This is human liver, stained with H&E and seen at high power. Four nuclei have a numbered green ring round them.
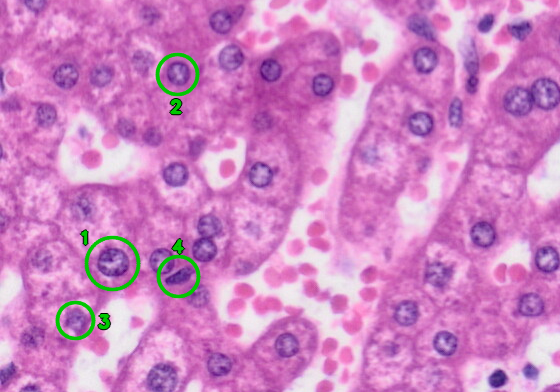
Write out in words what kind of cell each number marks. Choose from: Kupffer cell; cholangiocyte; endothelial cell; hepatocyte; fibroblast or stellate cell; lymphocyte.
Cell 1 is a hepatocyte, cell 2 is a hepatocyte, cell 3 is a hepatocyte and cell 4 is a fibroblast or stellate cell.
